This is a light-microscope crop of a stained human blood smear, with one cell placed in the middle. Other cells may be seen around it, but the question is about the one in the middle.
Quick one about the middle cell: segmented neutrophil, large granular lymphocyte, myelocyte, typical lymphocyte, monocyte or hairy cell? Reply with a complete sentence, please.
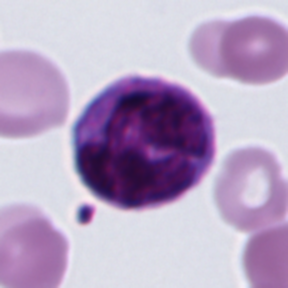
The cell under consideration, at the middle of the crop, is a monocyte.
